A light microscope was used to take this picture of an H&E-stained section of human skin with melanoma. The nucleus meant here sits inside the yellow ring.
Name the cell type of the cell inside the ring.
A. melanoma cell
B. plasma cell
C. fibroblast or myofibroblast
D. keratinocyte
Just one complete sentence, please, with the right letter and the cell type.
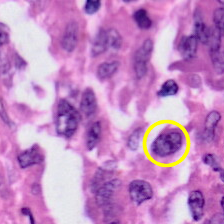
Option A is the correct one: the cell inside the ring is a melanoma cell.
